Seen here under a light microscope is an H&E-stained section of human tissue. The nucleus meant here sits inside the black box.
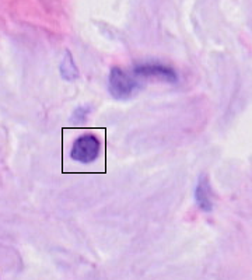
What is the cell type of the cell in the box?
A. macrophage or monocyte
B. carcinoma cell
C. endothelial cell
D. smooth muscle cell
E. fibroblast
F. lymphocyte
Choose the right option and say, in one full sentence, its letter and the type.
Answer with option F; the cell in the box is a lymphocyte.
